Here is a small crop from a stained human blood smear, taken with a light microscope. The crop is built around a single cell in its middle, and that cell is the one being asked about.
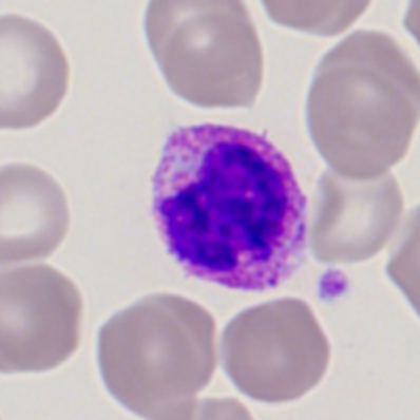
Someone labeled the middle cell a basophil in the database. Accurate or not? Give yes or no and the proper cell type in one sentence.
Yes, centred in the crop is a basophil.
